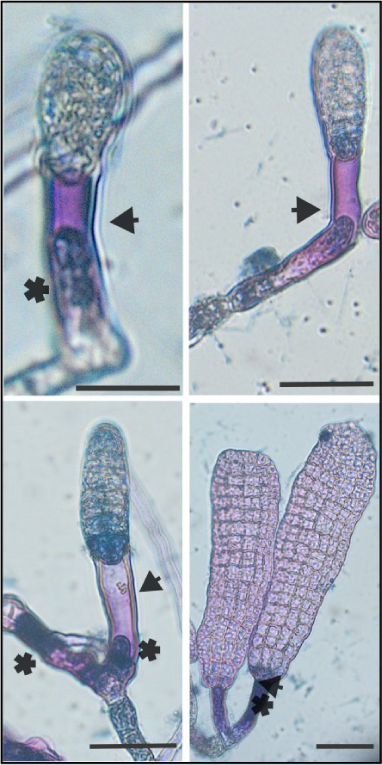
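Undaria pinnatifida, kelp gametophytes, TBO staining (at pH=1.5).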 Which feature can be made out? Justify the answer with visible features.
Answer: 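Sporophyte. Elongated multicellular bodies with many small cells sit atop the stalks. They are paler than the purple-stained stalks below them.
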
